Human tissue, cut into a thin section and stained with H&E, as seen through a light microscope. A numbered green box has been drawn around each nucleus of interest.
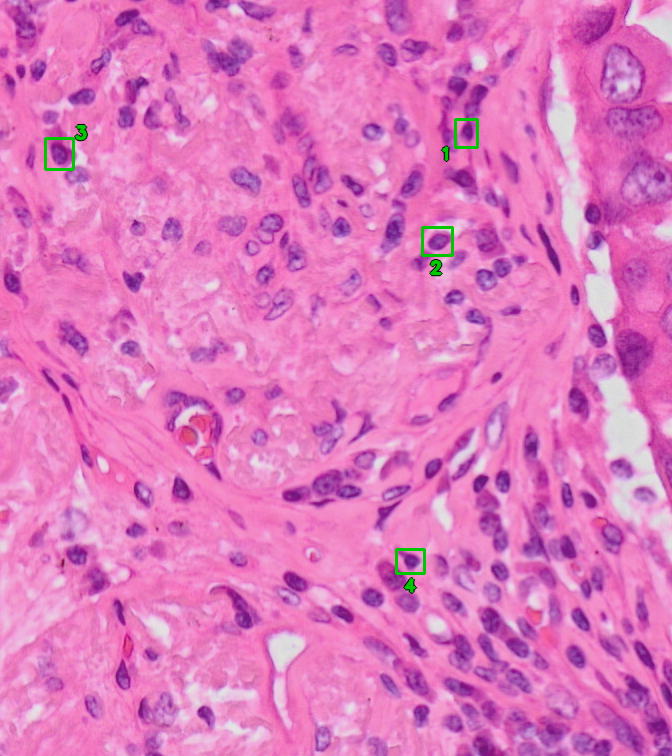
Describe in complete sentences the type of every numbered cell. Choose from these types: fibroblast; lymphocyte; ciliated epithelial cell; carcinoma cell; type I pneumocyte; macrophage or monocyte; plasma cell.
Cells 1, 2 and 4 are lymphocytes. Cell 3 is a plasma cell.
